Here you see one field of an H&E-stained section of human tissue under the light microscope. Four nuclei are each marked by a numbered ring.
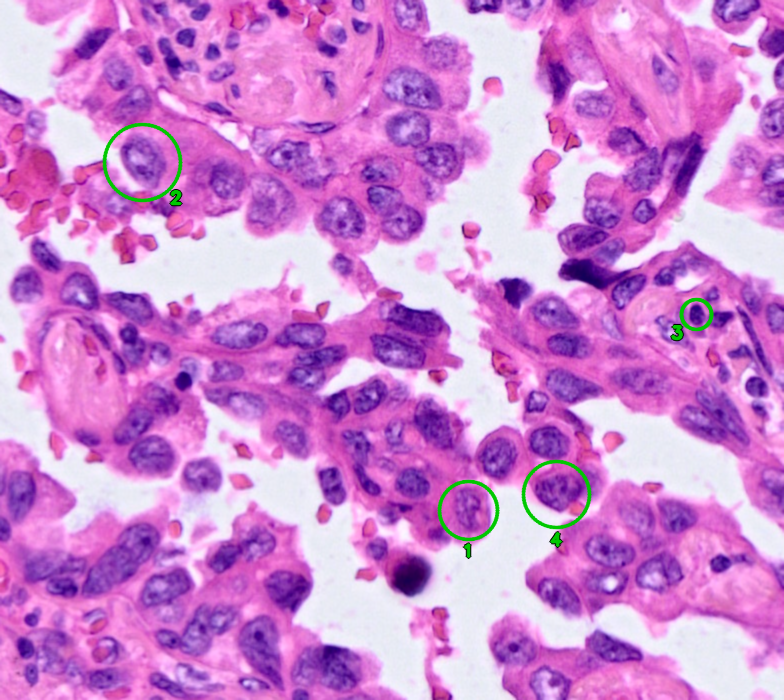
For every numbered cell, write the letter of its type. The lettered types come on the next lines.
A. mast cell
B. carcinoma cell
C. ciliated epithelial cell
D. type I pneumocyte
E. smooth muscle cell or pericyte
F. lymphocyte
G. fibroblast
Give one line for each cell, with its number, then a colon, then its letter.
1: B
2: B
3: F
4: B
